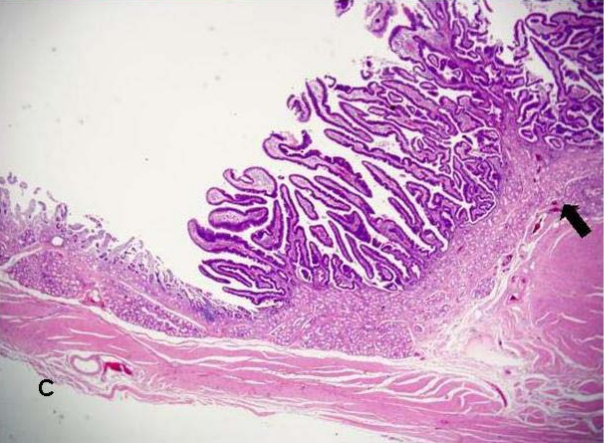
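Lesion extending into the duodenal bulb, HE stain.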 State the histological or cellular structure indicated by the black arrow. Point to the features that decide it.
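Below the mucosa lies a band of pale, lobulated glands above the pink muscle layer. The arrow points at the edge of this glandular zone near the muscle.
Hence: Brunner's glands.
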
